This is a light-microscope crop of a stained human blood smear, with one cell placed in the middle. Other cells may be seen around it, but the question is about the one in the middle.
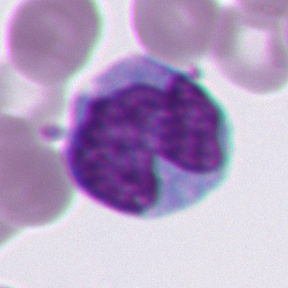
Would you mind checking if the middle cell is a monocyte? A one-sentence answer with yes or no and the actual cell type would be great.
Yes, the centre of the crop holds a monocyte.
